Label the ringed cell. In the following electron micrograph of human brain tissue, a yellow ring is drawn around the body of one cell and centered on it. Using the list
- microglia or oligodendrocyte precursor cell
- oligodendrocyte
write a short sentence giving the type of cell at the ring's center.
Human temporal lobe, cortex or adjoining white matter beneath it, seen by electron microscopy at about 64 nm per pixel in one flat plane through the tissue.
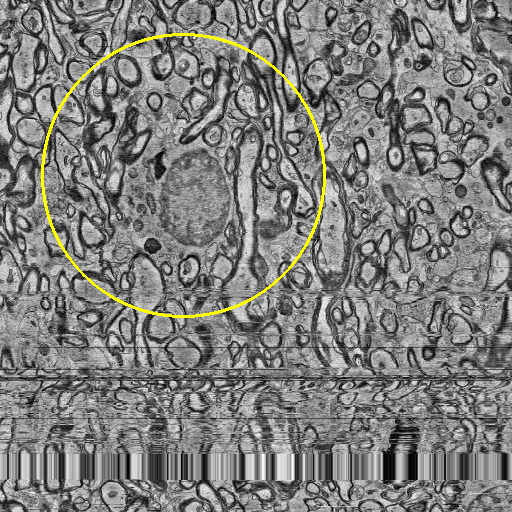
The cell body at the ring's center is that of an oligodendrocyte.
